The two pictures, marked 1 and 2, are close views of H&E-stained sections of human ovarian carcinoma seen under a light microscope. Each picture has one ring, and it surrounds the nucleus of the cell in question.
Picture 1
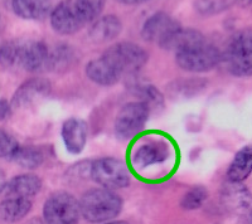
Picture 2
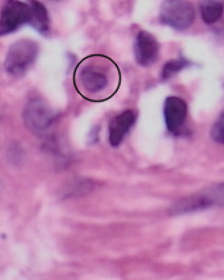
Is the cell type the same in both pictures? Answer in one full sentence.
Yes, both cells are “macrophages or monocytes”.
